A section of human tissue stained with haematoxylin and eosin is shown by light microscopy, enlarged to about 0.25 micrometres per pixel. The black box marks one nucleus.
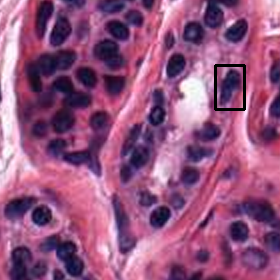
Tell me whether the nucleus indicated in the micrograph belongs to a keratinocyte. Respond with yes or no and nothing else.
no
